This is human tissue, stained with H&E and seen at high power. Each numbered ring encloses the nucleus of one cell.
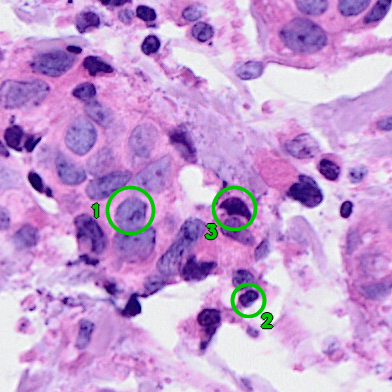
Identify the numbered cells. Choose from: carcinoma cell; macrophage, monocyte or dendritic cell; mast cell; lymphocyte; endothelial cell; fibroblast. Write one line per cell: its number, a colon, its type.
1: carcinoma cell
2: lymphocyte
3: carcinoma cell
